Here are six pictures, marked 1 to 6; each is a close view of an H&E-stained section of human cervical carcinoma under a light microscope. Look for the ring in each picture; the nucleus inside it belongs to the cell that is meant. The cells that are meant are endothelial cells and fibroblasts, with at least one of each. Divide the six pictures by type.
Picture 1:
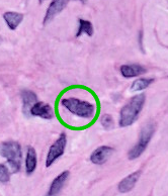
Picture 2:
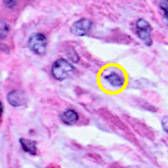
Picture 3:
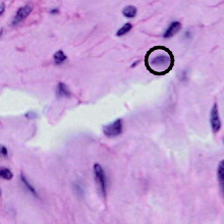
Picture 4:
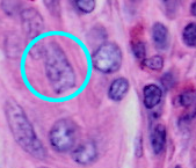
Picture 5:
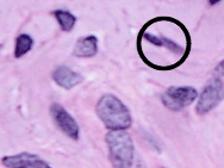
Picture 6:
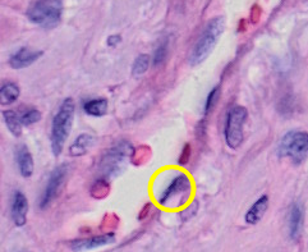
1: fibroblast
2: fibroblast
3: fibroblast
4: endothelial cell
5: fibroblast
6: endothelial cell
